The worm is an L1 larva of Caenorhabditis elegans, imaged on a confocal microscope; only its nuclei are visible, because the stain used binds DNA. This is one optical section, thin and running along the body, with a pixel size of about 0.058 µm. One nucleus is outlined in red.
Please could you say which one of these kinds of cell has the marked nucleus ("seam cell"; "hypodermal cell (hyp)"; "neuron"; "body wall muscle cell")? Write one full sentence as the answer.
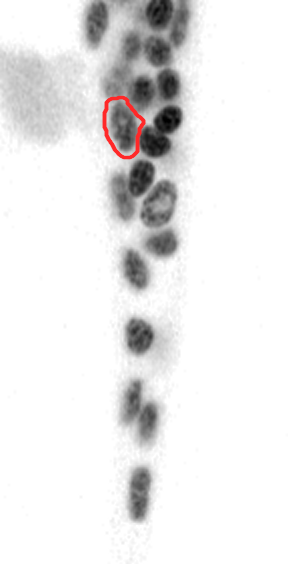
The marked nucleus is that of a body wall muscle cell.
